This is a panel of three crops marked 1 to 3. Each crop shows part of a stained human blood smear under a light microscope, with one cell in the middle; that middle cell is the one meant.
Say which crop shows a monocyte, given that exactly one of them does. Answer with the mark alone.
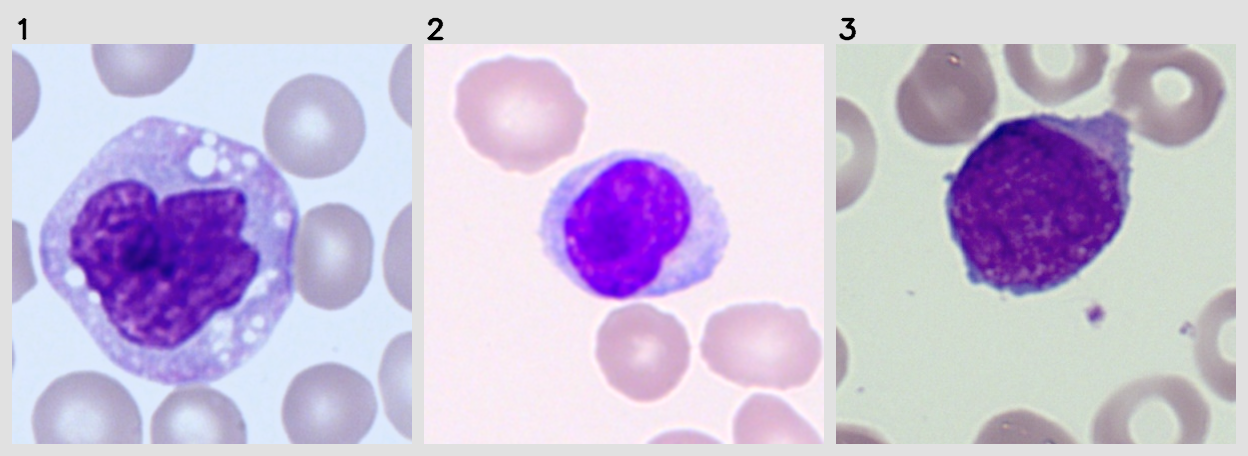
1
